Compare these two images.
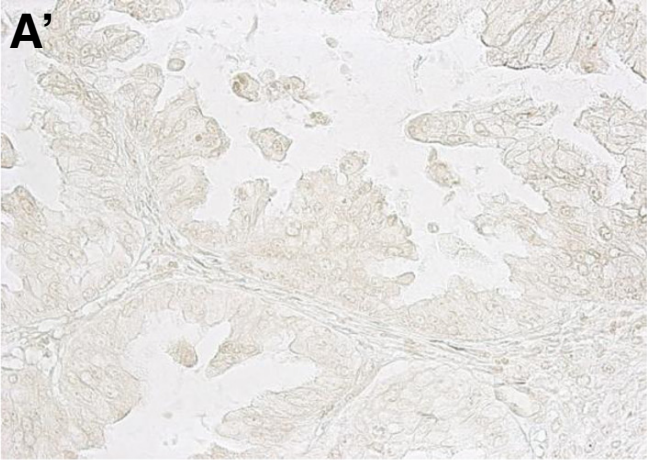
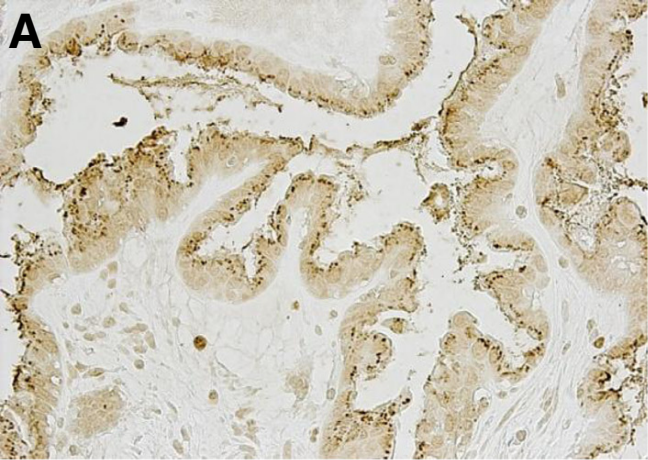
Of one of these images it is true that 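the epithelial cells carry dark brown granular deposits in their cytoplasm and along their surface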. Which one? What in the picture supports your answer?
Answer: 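First image: the epithelium is only faintly beige with no dark brown granules. Second image: the epithelium lining the papillae shows dark brown granules along the luminal surface and in the cytoplasm. So: the second image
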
